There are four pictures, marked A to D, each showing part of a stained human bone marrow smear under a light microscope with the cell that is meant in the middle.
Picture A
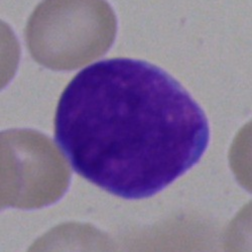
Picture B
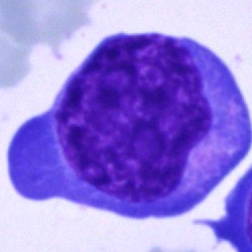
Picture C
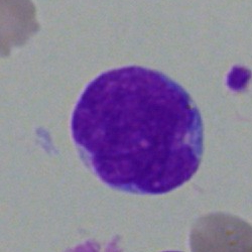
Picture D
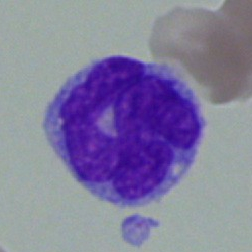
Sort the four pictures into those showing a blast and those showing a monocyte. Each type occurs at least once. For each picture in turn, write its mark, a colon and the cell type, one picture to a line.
A: blast
B: blast
C: blast
D: monocyte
